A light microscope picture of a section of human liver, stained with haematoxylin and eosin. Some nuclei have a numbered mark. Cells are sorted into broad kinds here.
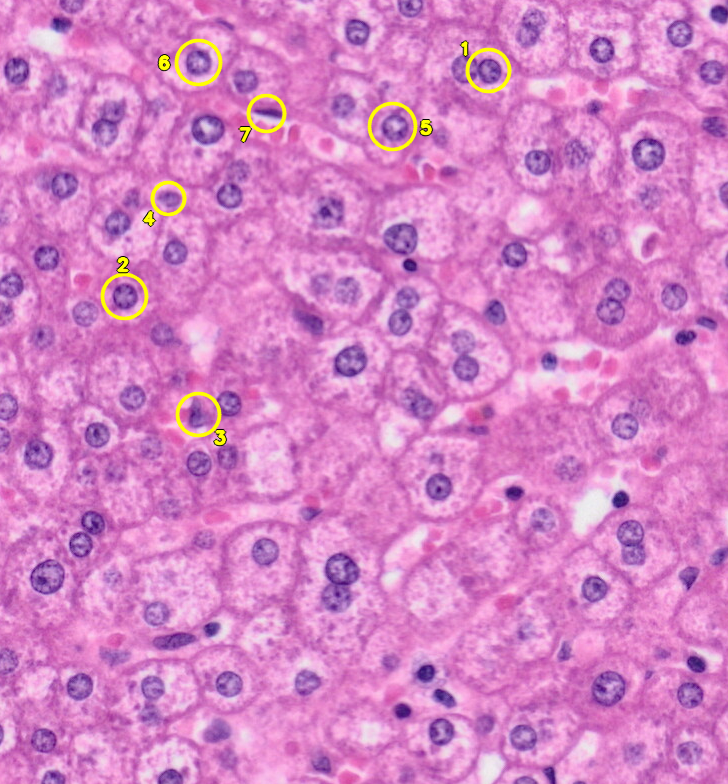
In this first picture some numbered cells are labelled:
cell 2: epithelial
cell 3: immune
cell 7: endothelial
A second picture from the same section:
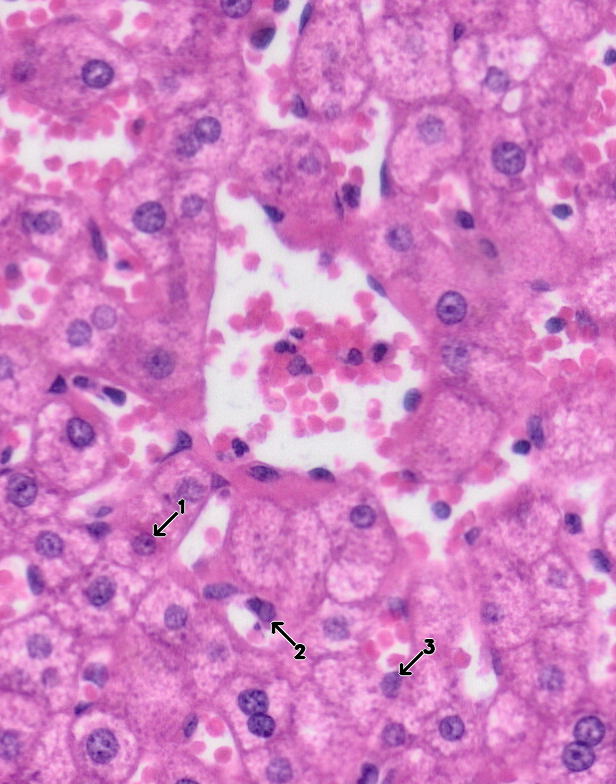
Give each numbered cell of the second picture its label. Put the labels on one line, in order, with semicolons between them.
epithelial; immune; endothelial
